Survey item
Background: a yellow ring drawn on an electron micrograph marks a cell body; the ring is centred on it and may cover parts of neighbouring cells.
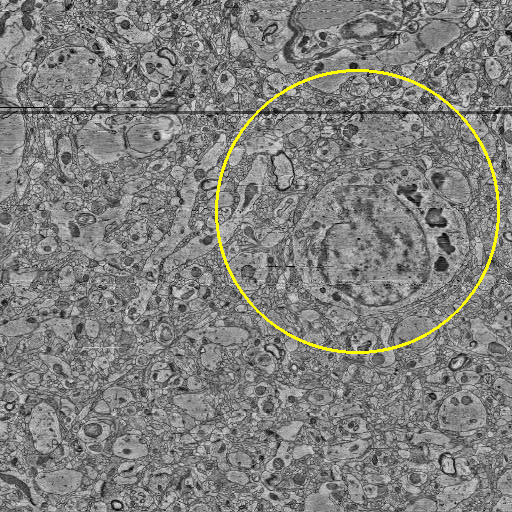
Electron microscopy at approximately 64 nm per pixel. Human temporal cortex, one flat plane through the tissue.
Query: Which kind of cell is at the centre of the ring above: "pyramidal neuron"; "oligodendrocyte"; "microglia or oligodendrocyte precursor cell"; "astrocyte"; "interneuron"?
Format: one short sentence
The cell in the middle of the ring is an interneuron.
